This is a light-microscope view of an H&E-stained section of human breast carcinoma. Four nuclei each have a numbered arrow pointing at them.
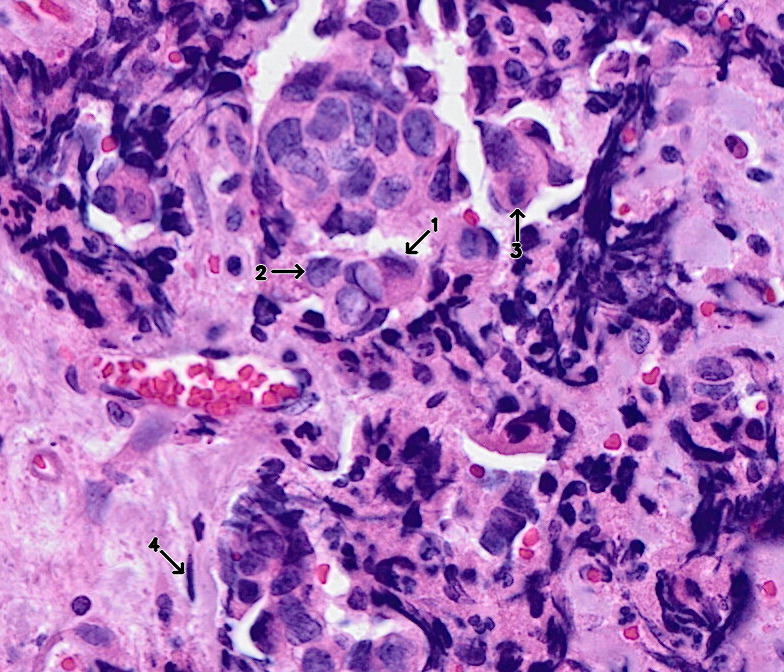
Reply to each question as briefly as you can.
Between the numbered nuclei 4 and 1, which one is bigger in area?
1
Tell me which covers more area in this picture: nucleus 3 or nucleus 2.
2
